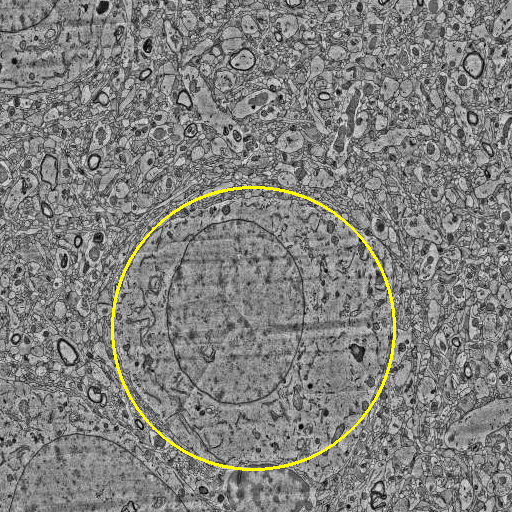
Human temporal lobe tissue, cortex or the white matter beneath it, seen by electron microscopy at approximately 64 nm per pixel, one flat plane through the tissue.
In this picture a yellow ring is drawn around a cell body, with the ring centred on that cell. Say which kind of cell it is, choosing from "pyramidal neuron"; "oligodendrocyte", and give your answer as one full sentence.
Here it is a pyramidal neuron that sits at the centre of the drawn yellow ring.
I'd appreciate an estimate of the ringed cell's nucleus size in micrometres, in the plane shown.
The nucleus works out at approximately 12 by 9 micrometres in this plane.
